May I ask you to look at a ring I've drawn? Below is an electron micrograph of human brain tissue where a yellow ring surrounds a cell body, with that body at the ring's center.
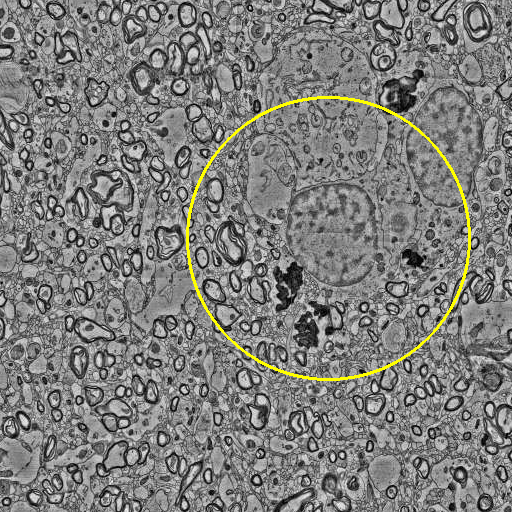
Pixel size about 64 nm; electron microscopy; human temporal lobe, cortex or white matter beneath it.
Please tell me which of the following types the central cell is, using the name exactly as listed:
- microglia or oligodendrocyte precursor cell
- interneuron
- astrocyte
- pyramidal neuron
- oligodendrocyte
oligodendrocyte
